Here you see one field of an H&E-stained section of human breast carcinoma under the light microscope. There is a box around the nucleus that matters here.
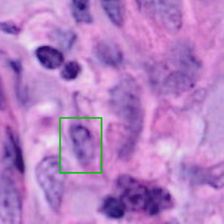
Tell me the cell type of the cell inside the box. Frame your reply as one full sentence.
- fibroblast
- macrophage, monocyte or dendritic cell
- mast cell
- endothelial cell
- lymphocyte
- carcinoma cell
It is as a macrophage, monocyte or dendritic cell that the cell inside the box is classified.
